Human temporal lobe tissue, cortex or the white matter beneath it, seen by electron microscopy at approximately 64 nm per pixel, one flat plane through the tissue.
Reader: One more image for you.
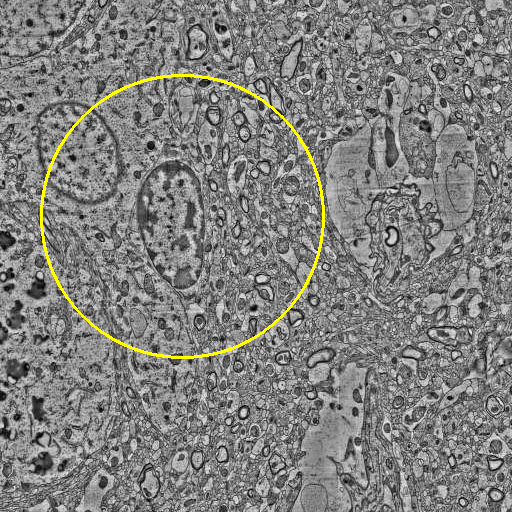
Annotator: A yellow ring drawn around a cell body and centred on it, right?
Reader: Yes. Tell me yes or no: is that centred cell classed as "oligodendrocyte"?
no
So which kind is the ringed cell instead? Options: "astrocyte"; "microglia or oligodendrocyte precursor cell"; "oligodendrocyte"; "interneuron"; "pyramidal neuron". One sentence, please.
What the ring is centred on is a microglial cell or oligodendrocyte precursor cell.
